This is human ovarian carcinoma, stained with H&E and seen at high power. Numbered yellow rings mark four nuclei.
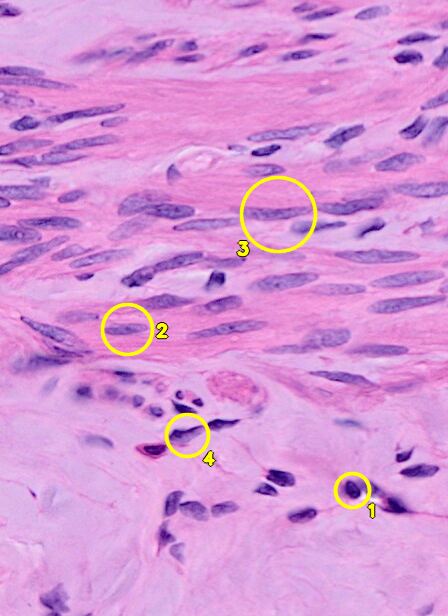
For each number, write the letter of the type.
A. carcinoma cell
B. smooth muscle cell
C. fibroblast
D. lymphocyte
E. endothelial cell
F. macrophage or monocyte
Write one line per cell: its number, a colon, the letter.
1: D
2: B
3: B
4: C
